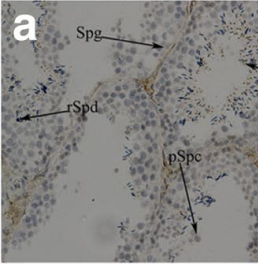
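Testis with seminiferous tubules cut across, lined by several layers of germ cells with blue-stained round nuclei around wide open lumina. Between the tubules, narrow interstitial strips hold cells whose cytoplasm is stained light brown. The germ cell layers themselves are largely free of brown stain.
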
